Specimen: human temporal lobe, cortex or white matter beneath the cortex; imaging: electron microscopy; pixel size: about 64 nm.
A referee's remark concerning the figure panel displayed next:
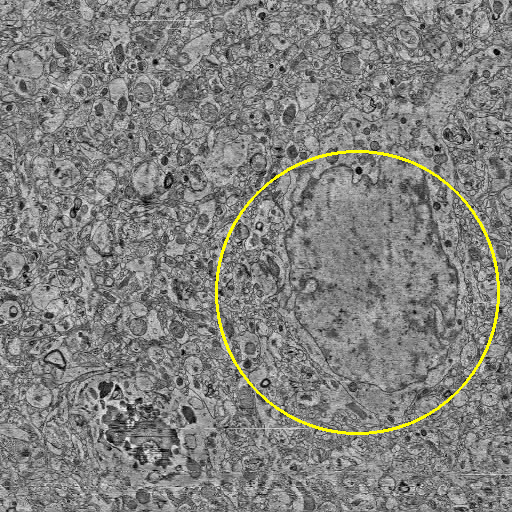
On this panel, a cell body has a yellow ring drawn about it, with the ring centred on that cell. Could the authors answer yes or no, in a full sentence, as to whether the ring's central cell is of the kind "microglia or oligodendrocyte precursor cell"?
No, the cell sitting at the middle of the ring on this panel belongs to a different kind.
